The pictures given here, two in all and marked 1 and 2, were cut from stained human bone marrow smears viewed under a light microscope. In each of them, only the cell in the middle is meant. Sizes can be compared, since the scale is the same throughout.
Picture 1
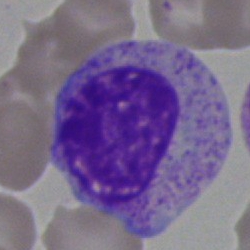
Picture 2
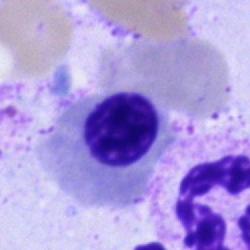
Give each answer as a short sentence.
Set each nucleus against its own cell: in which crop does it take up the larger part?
Of the two, the nucleus in picture 1 makes up the greater part of its cell.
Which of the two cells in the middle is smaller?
Picture 2 holds the smaller cell, since the cell in picture 1 covers about 1.5 times as much area.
